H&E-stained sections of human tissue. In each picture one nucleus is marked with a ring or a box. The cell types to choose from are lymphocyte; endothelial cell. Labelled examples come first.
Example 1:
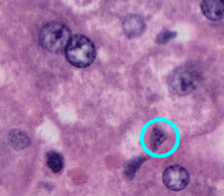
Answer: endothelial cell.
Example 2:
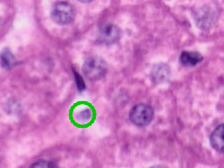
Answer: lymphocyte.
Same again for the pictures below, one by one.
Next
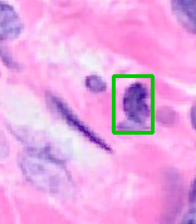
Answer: lymphocyte.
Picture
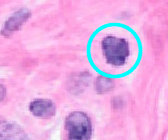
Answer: lymphocyte.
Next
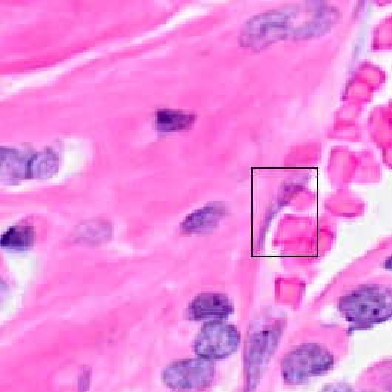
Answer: endothelial cell.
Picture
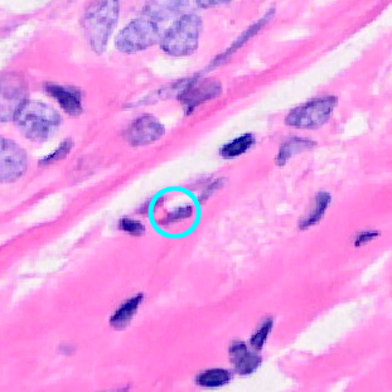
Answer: endothelial cell.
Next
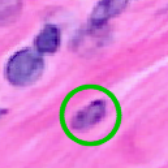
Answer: lymphocyte.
